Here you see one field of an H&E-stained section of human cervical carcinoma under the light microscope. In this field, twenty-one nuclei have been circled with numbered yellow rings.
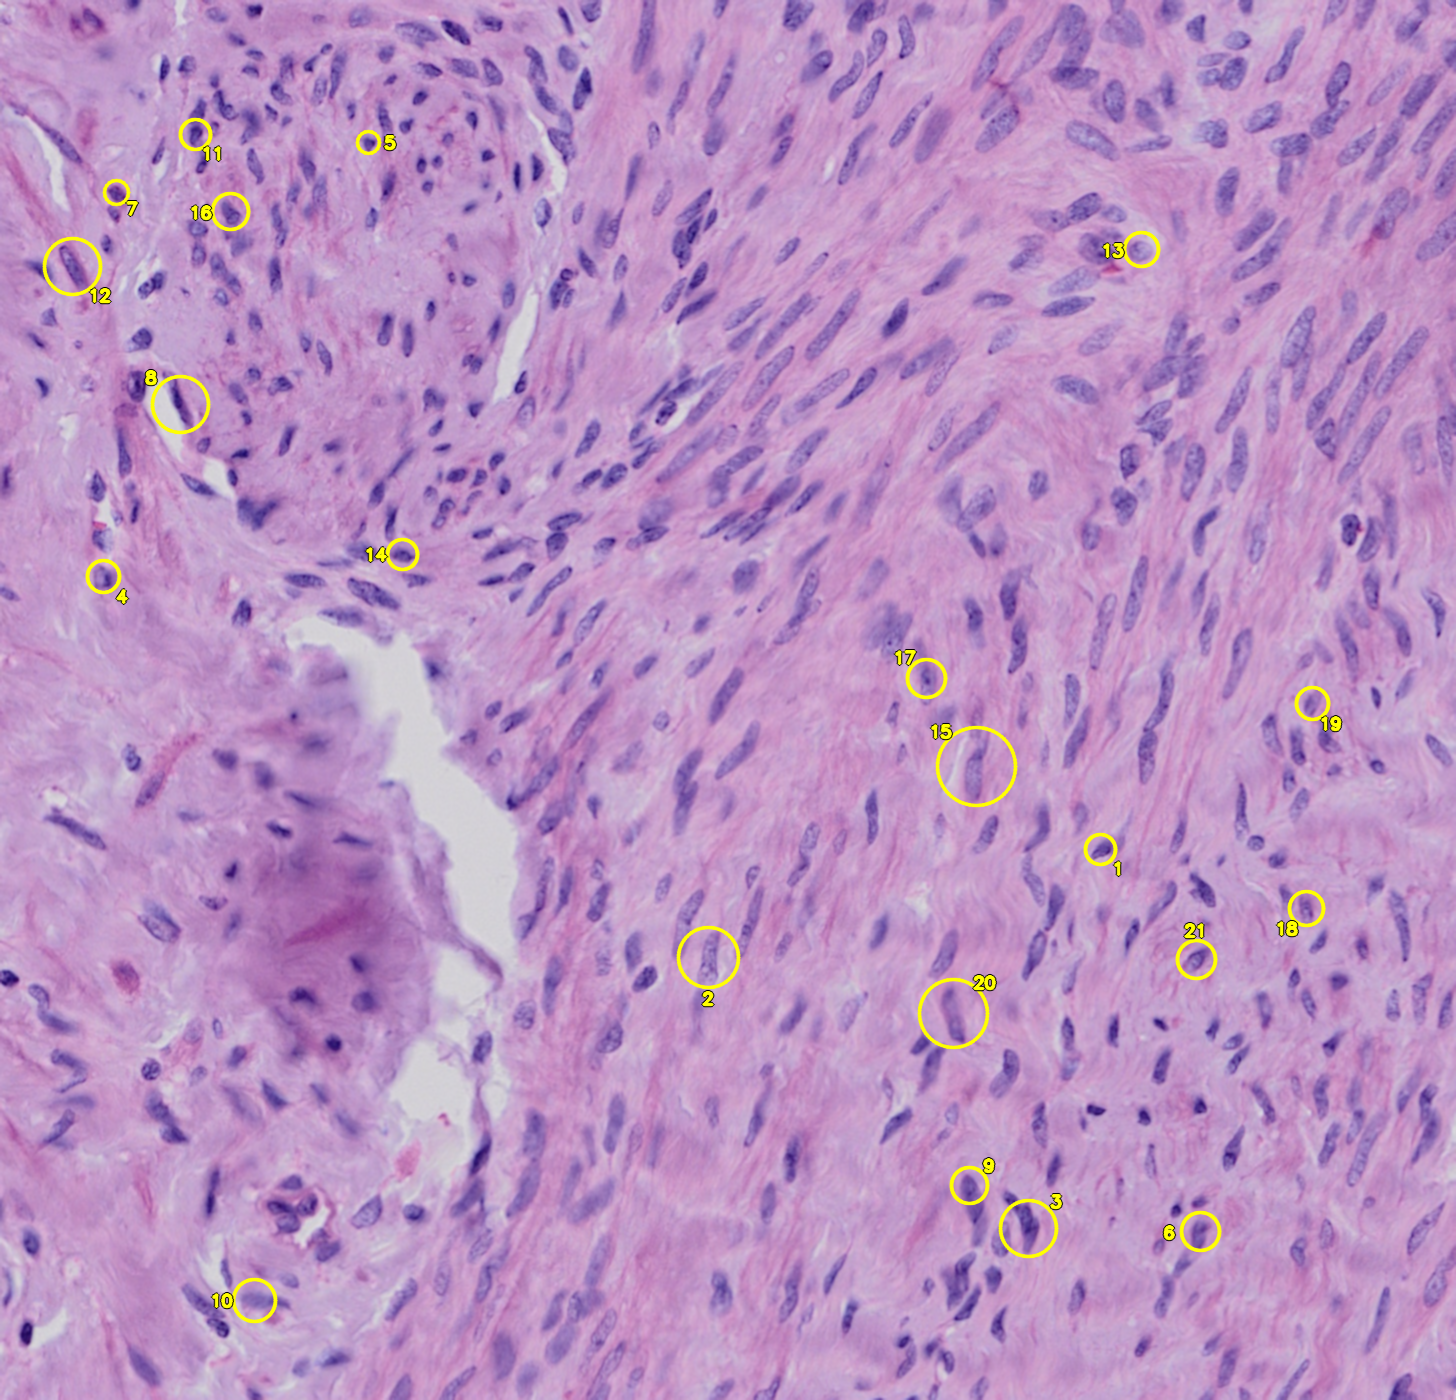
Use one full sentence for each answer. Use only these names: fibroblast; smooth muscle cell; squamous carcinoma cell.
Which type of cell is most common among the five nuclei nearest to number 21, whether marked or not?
Fibroblasts make up most of the five nuclei closest to number 21.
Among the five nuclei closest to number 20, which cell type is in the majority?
Fibroblasts account for more than half of the five nuclei nearest to number 20.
